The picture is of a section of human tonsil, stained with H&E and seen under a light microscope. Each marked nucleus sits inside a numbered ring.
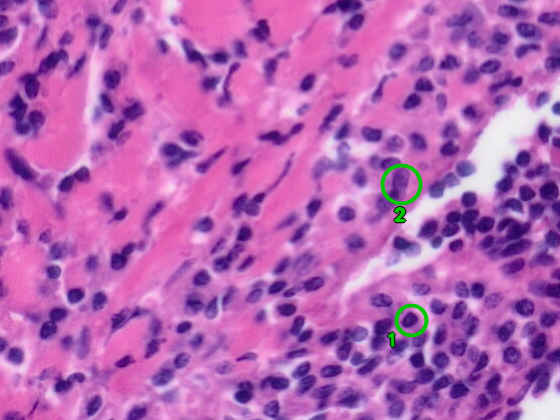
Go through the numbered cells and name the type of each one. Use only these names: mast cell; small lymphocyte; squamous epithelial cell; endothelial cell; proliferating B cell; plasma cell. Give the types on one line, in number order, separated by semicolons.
plasma cell; endothelial cell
